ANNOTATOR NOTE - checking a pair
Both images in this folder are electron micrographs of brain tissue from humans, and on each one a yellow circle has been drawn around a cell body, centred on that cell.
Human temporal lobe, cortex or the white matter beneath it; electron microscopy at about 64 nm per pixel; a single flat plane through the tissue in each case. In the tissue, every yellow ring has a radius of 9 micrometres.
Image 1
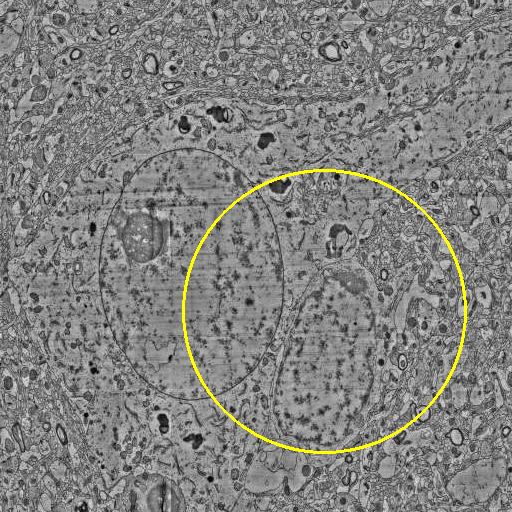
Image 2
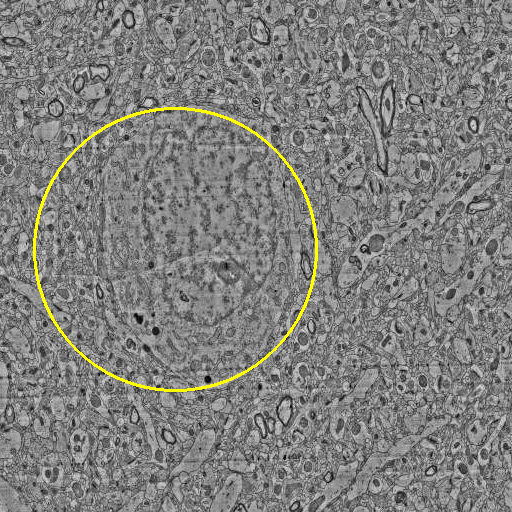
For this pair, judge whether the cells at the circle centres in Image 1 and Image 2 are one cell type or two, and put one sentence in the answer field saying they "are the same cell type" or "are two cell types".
For this pair, the cells at the circle centres in Images 1 and 2 are the same cell type.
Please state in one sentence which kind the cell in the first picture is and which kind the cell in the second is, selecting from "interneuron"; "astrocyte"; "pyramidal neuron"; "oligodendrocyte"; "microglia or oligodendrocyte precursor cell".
The second cell is an interneuron, just as the first is.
